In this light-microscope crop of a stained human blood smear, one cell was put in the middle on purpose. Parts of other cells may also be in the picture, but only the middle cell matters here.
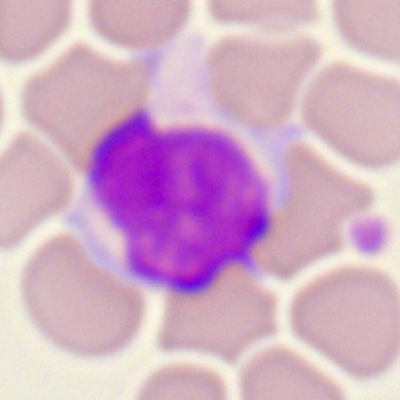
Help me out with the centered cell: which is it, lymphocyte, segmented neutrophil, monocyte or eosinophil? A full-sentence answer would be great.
The cell centred in this crop is categorized as a lymphocyte.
